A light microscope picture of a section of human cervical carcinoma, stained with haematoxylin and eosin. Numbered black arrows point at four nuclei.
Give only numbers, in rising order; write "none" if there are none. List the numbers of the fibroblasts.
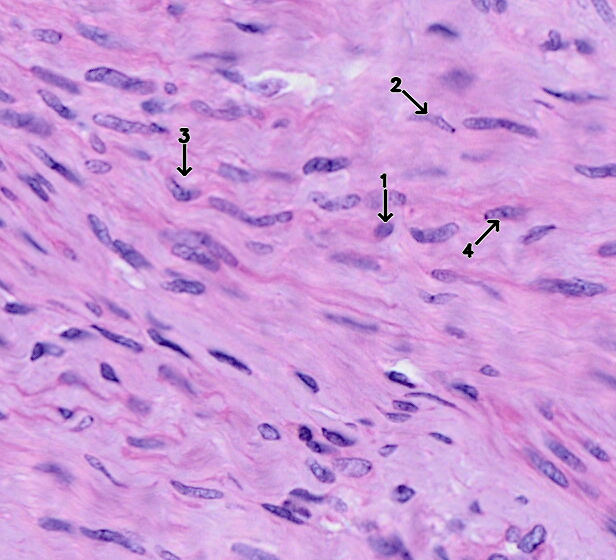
2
